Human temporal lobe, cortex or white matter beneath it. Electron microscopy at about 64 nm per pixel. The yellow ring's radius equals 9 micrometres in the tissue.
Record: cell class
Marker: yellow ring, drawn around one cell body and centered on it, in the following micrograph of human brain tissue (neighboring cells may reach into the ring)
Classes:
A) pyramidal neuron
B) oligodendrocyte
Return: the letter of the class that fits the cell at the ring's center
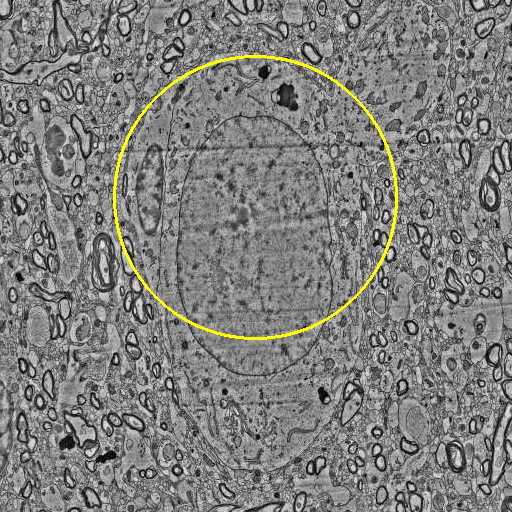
A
